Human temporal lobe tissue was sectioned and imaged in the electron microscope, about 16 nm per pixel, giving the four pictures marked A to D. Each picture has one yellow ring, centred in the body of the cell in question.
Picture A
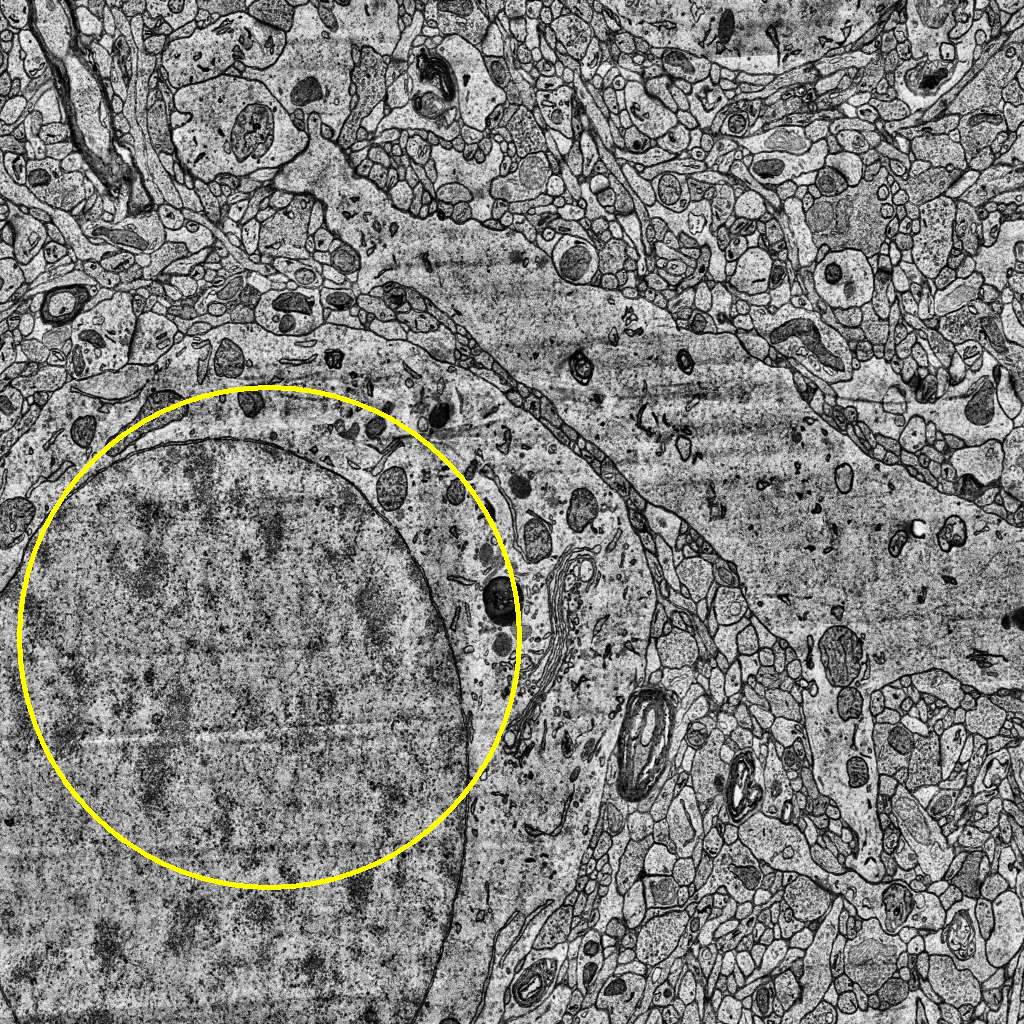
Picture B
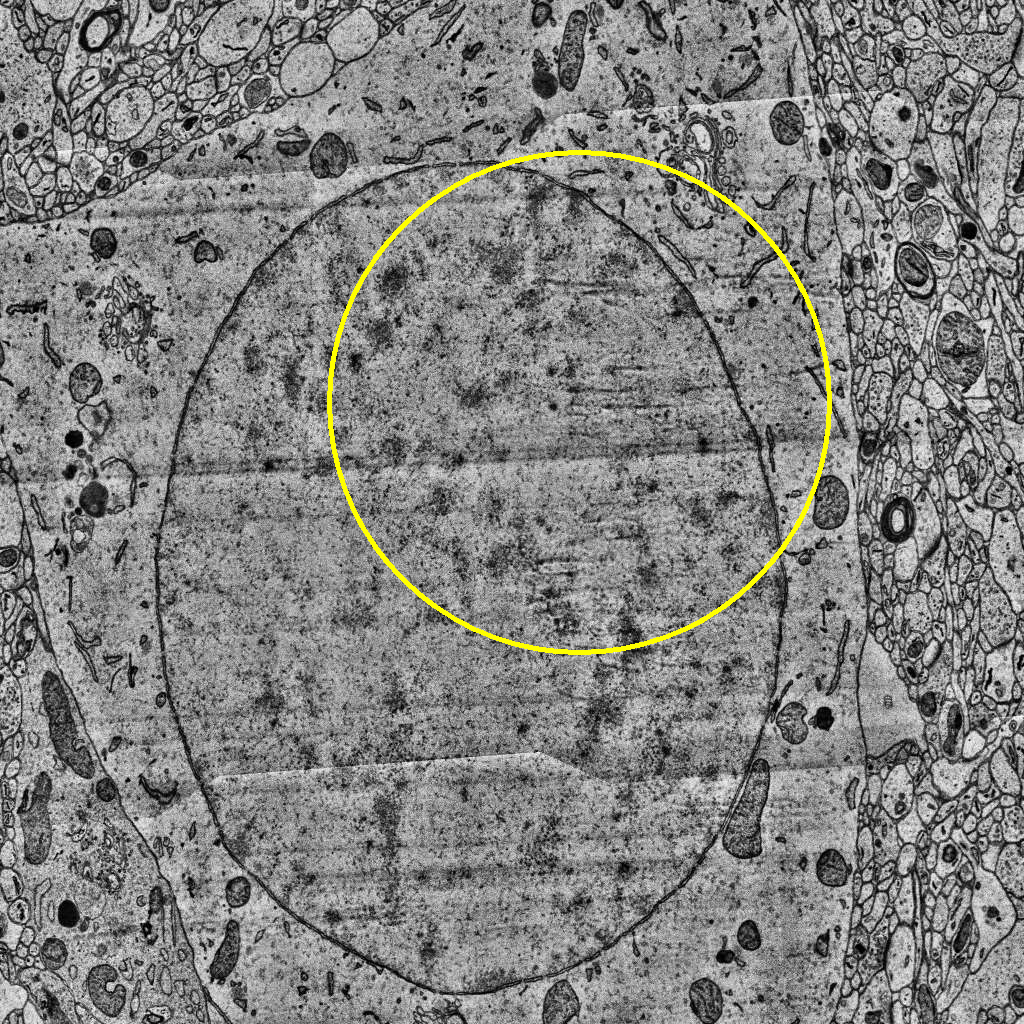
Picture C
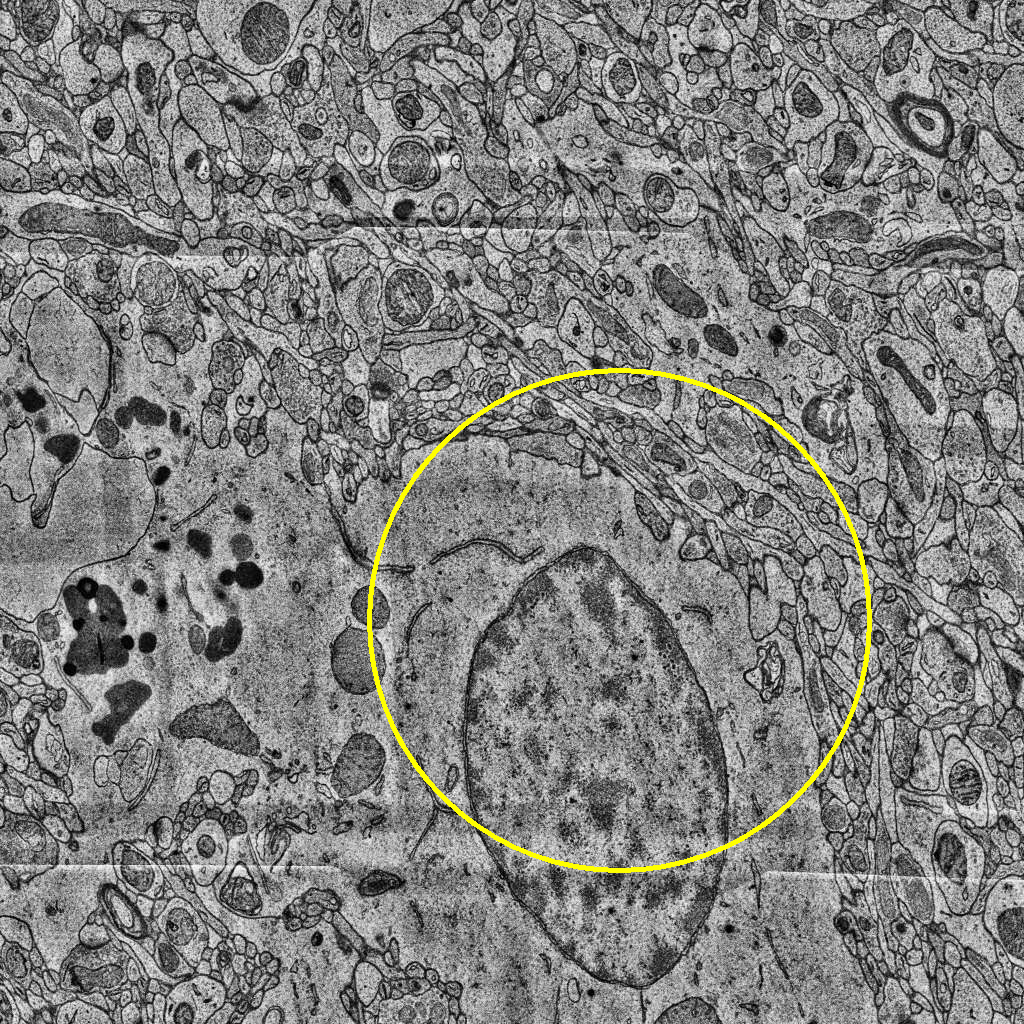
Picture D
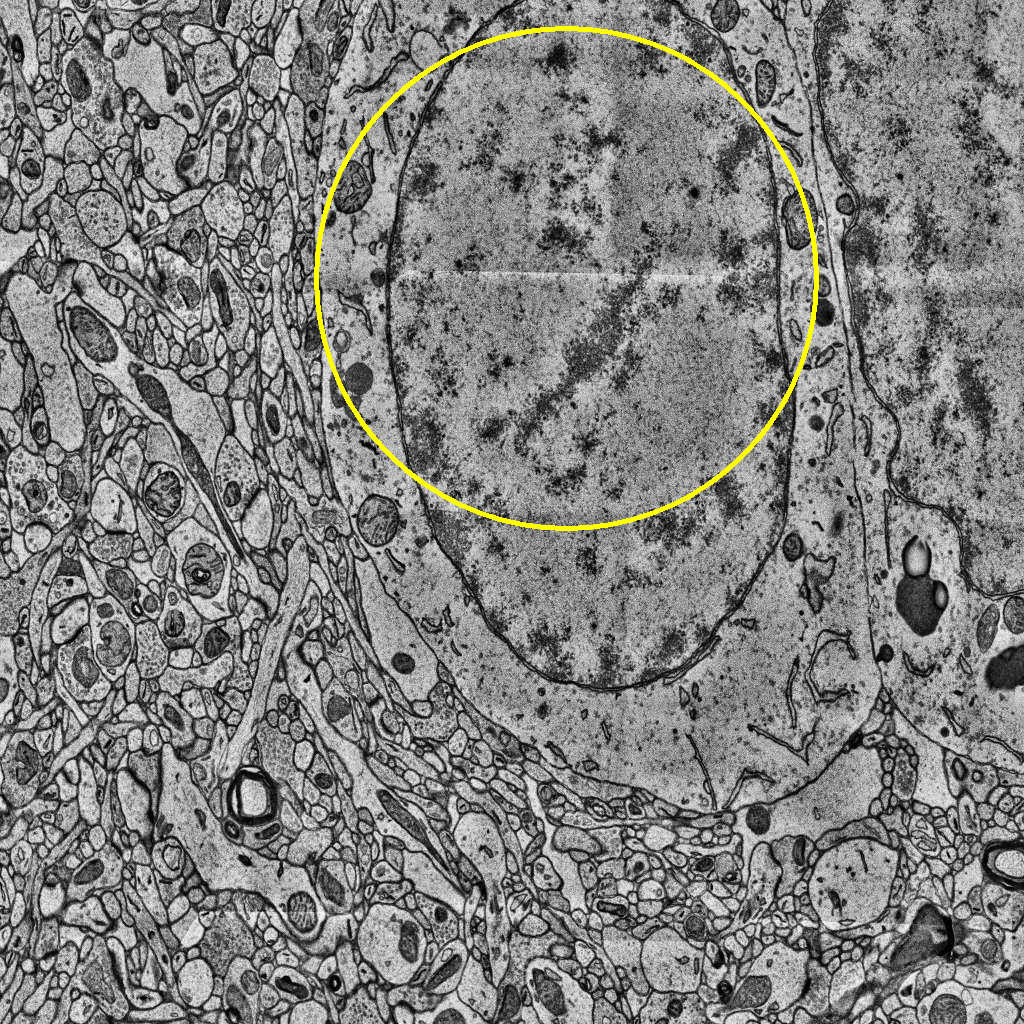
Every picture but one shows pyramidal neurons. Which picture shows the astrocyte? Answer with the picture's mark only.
C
